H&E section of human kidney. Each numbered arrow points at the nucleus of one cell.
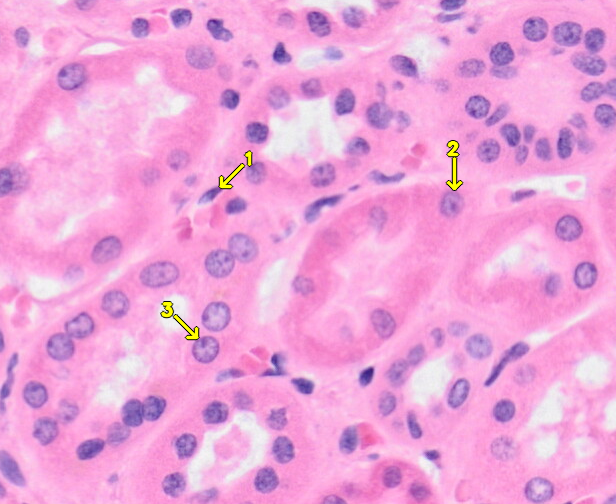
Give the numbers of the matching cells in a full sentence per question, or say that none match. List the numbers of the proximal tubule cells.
Identification: the cells with numbers 2 and 3 are proximal tubule cells.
